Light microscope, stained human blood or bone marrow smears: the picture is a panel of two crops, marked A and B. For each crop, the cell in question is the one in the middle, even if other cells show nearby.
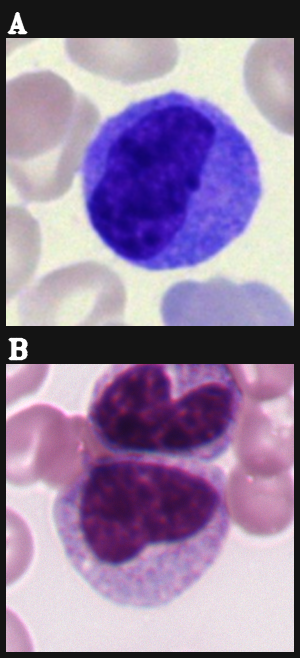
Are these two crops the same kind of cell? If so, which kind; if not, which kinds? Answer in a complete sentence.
No, crop A is where a monocyte is shown, and crop B is where a metamyelocyte is shown.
